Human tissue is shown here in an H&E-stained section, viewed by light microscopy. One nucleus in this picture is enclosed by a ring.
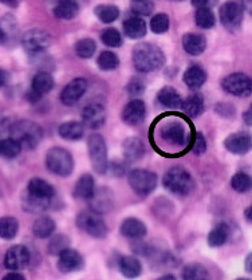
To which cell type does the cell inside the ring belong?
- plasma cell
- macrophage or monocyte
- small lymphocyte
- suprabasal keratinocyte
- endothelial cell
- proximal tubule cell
plasma cell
